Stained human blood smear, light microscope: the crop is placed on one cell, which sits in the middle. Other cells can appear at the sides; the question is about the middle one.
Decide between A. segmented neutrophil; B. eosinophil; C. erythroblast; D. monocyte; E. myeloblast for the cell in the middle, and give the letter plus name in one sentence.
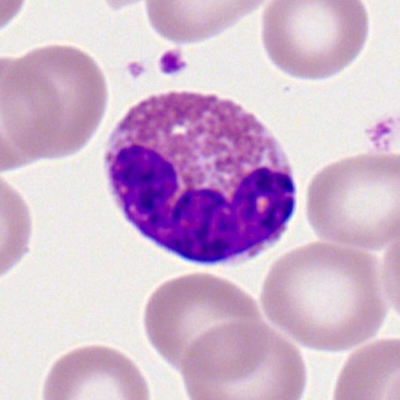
The cell in the middle is an eosinophil, so option B is correct.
